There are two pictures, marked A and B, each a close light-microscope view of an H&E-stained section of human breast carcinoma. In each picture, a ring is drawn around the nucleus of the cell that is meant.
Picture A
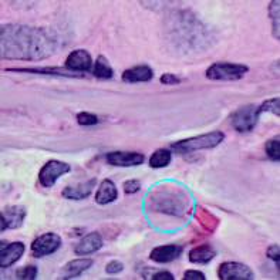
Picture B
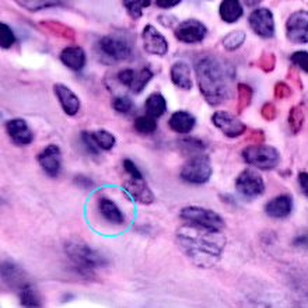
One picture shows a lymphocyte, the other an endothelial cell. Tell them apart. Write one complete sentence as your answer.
The cell in picture A is an endothelial cell, and the one in picture B is a lymphocyte.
